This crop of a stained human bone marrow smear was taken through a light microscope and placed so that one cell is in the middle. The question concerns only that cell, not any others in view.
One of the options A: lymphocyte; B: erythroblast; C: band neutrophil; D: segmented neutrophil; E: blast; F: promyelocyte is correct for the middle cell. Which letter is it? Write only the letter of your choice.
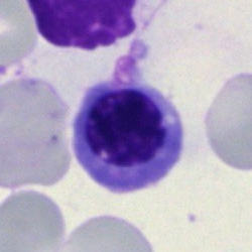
B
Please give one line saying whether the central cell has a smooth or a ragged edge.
In short, the margin is smooth with no projections at all.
